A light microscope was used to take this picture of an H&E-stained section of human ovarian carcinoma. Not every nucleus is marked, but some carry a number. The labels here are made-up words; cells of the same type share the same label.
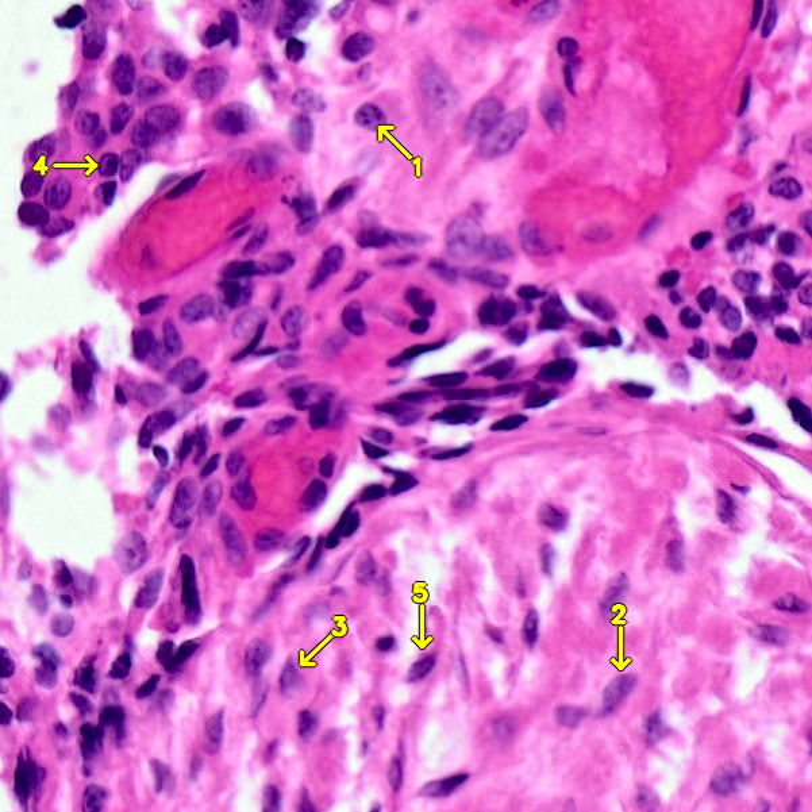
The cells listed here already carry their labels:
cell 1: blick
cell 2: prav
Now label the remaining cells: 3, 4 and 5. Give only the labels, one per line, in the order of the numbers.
prav
blick
prav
